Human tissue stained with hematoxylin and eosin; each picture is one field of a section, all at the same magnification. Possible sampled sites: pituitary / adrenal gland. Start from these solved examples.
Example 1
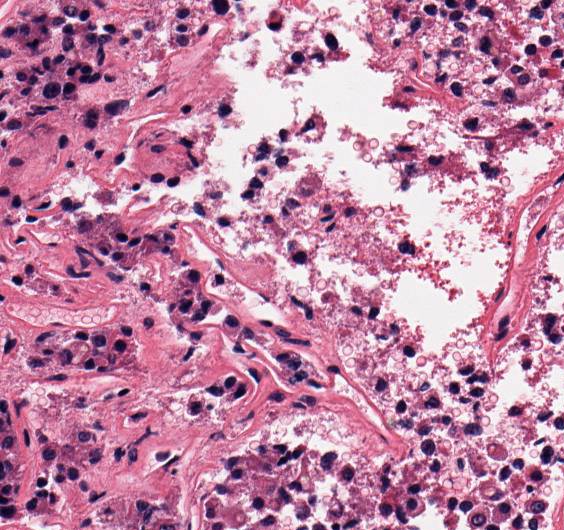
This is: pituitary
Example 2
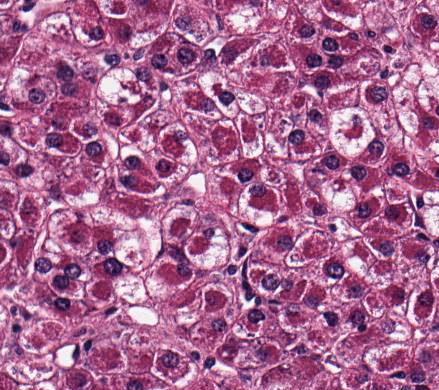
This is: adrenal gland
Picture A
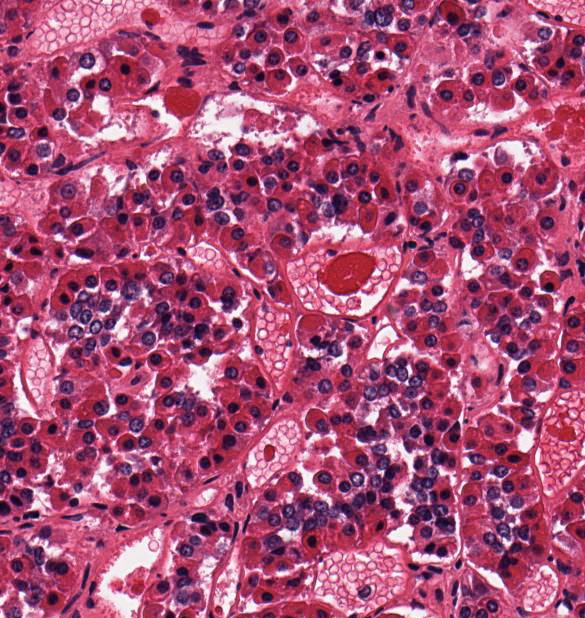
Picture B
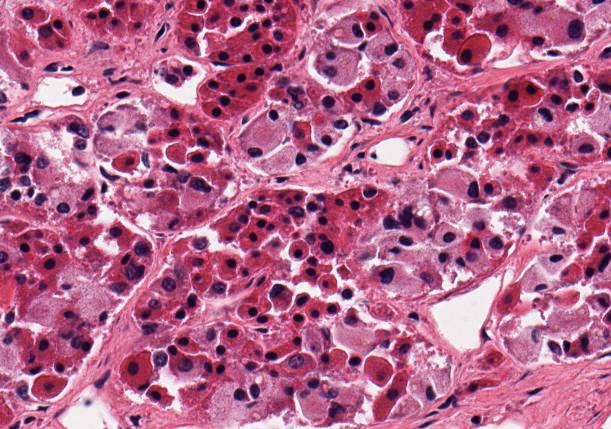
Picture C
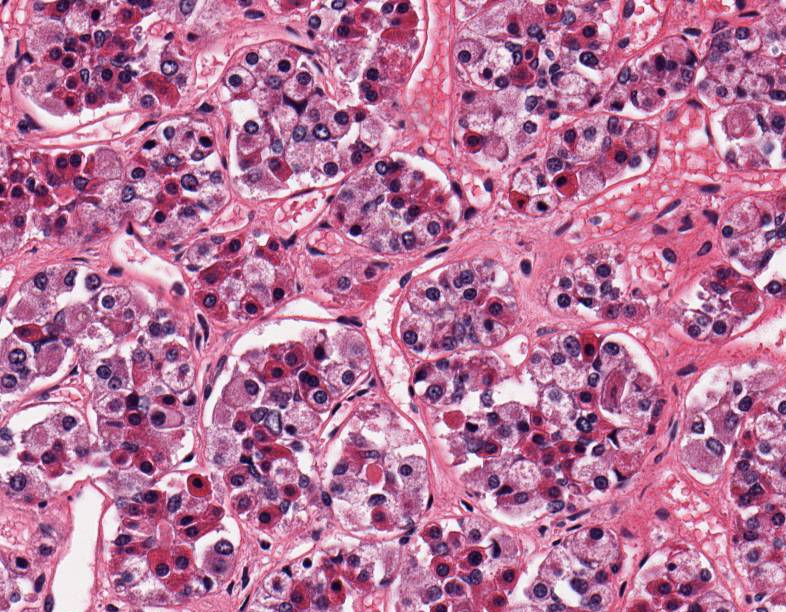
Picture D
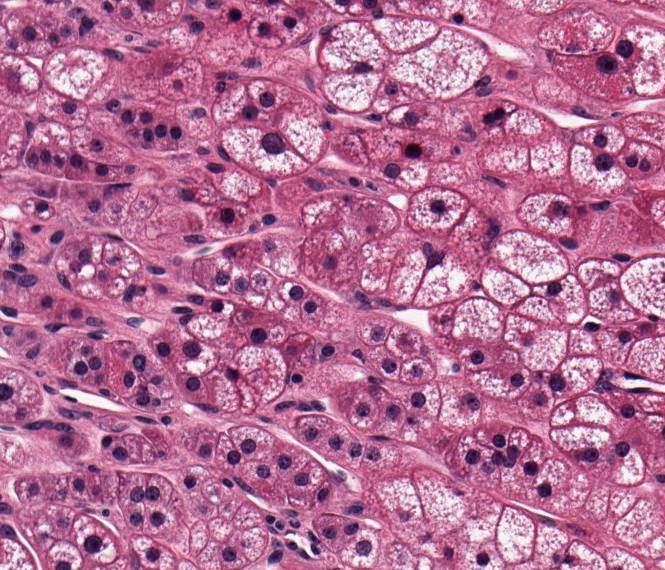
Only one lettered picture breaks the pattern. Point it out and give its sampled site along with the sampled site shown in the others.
Picture D: adrenal gland. All others: pituitary.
